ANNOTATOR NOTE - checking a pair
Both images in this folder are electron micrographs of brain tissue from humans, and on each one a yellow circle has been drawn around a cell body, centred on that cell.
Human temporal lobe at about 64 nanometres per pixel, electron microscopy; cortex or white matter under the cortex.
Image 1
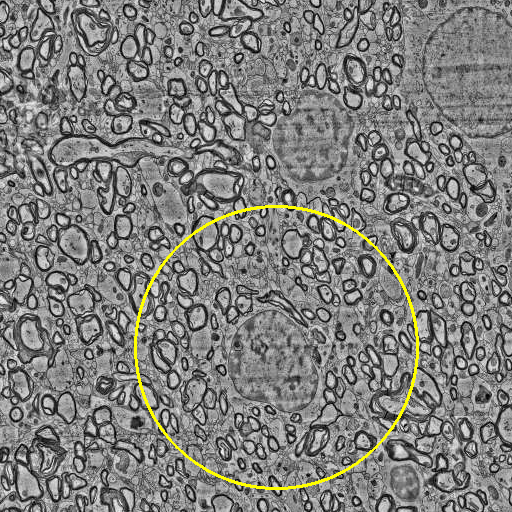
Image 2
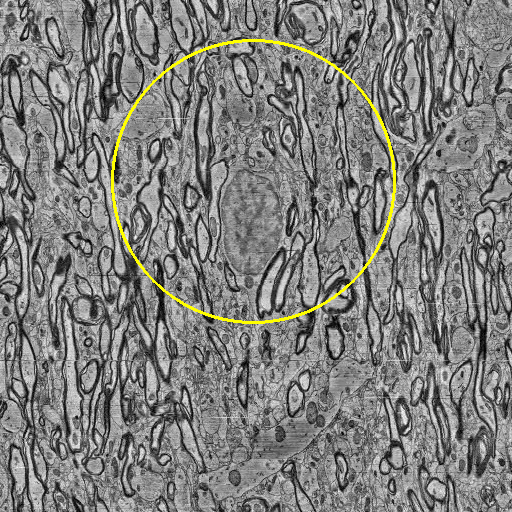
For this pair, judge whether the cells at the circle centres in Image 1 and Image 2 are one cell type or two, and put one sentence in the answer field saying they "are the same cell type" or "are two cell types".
For this pair, the cells at the circle centres in Images 1 and 2 are two cell types.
